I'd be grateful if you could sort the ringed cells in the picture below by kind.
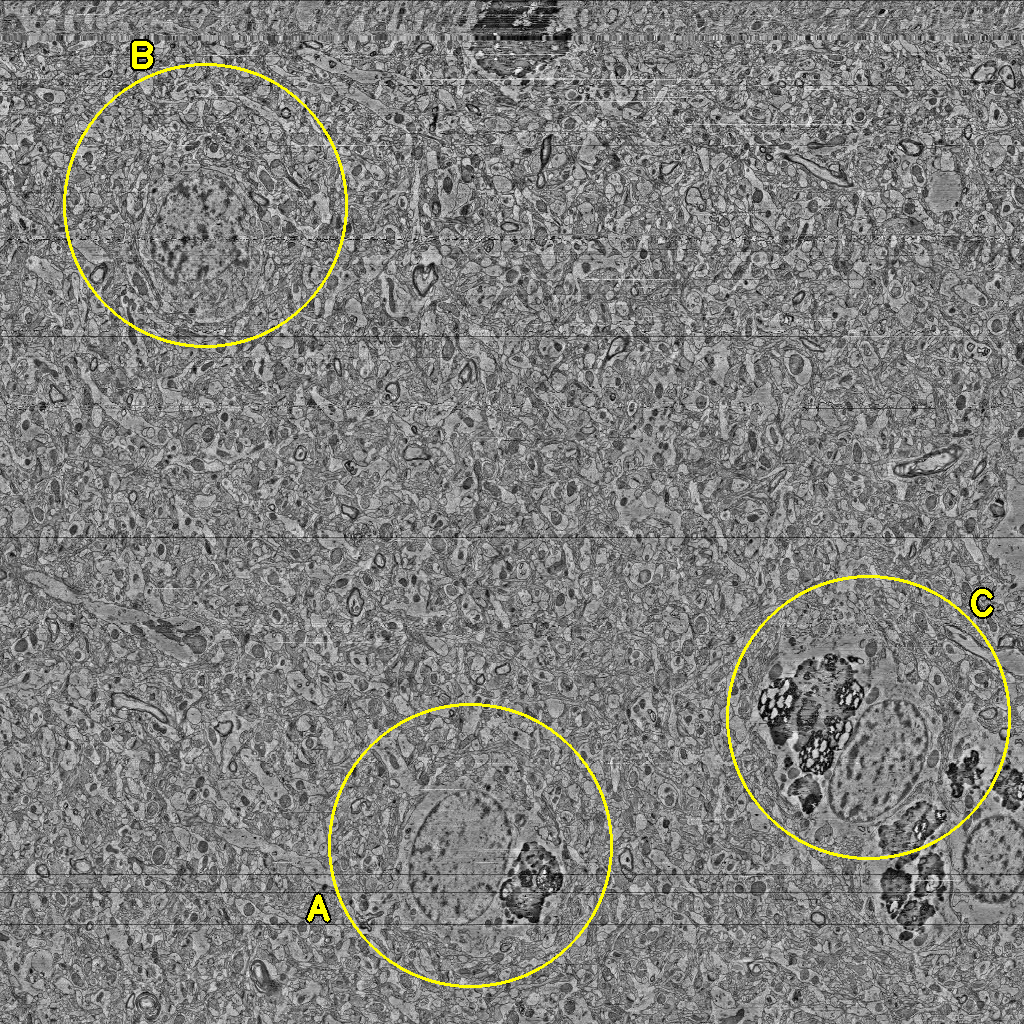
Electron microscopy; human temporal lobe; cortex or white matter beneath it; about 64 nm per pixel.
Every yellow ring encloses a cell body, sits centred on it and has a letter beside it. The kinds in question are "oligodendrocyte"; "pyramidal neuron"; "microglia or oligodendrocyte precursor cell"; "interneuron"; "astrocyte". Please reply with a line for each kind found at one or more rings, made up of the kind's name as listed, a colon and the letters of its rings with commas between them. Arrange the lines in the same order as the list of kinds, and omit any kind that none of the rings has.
interneuron: B
astrocyte: A, C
